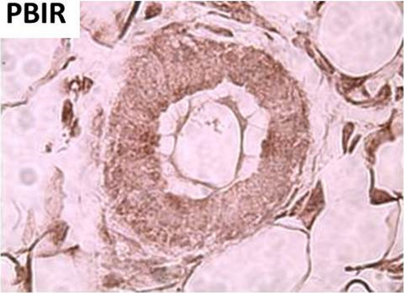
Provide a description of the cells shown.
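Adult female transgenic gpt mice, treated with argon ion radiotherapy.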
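The epithelial cells are packed several deep and their cytoplasm is stained a strong brown, with faint rounded nuclei showing through. Around the duct lie large, empty, rounded fat cells whose thin walls are also outlined in brown.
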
